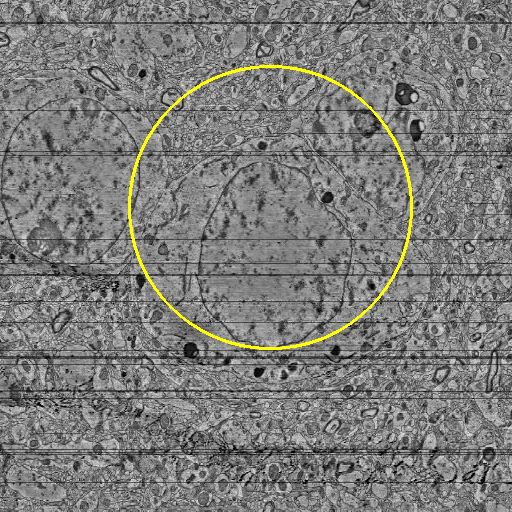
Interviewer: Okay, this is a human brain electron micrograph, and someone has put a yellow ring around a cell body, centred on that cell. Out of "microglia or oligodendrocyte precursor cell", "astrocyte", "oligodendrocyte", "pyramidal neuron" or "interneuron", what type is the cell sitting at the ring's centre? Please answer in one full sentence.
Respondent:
The cell at the centre of the yellow ring in this picture is a pyramidal neuron.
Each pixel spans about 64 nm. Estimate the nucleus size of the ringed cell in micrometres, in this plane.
Roughly 12 micrometres by 10 micrometres, in this plane.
